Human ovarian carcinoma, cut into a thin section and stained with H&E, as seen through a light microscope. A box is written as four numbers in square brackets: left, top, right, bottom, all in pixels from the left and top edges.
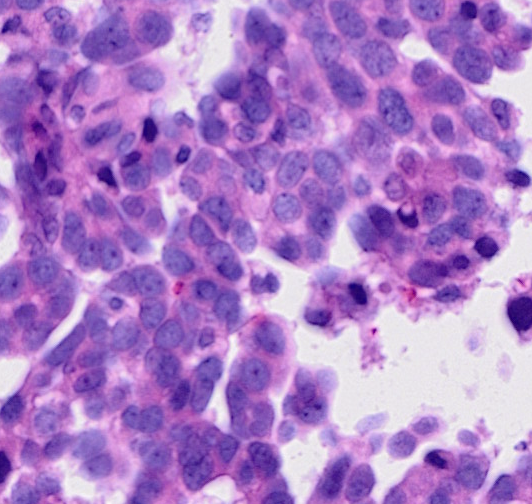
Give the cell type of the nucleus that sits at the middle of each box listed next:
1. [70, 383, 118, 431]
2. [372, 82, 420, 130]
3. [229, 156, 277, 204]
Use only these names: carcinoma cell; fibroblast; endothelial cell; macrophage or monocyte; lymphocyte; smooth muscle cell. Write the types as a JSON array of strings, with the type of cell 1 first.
["carcinoma cell", "carcinoma cell", "macrophage or monocyte"]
